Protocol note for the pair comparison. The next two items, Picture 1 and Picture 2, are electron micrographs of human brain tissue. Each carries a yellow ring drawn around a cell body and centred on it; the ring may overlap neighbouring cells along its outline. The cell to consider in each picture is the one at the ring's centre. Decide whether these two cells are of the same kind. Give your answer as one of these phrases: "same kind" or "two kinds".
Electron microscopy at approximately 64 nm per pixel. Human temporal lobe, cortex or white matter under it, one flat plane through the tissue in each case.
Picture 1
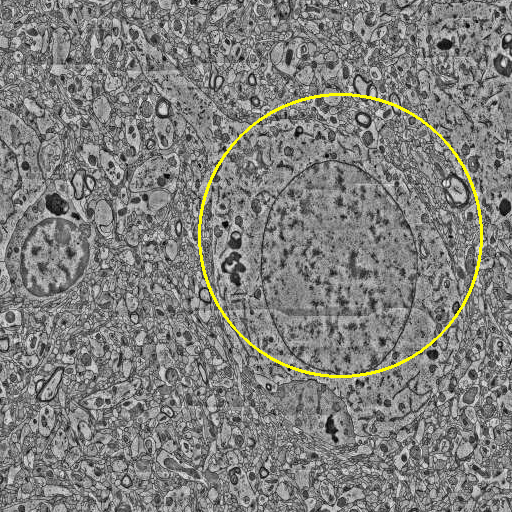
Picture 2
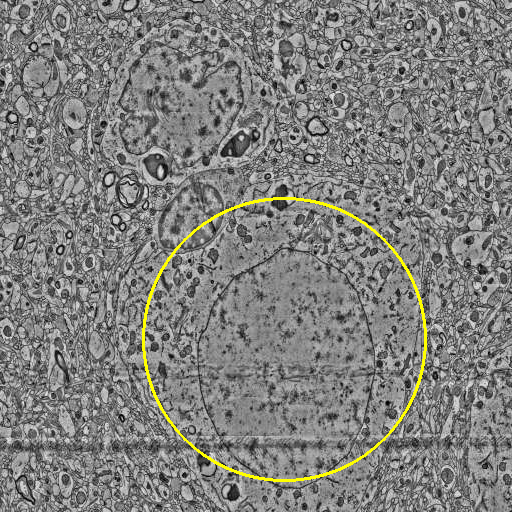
same kind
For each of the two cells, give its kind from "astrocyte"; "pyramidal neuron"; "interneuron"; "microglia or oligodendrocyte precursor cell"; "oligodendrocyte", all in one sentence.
The ring centre holds a pyramidal neuron in each of the two pictures.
